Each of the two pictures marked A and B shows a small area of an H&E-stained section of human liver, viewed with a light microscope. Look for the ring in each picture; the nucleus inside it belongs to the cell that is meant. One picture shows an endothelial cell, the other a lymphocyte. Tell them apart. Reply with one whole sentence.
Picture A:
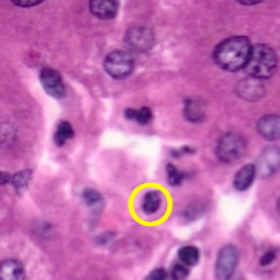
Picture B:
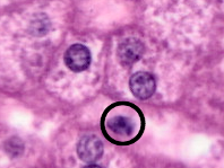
Picture B shows an endothelial cell, while picture A shows a lymphocyte.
